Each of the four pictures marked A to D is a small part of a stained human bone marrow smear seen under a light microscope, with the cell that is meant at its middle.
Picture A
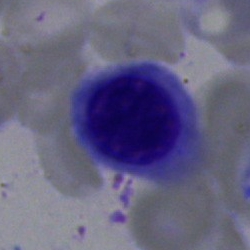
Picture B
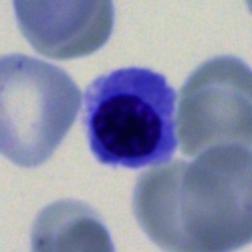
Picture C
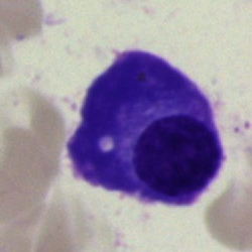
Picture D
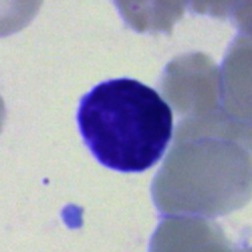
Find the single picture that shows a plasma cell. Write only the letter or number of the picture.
C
